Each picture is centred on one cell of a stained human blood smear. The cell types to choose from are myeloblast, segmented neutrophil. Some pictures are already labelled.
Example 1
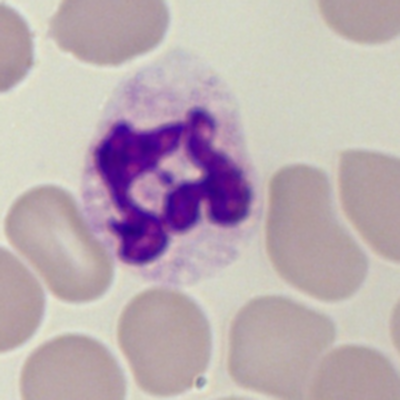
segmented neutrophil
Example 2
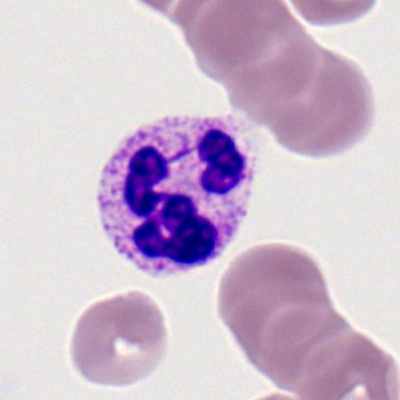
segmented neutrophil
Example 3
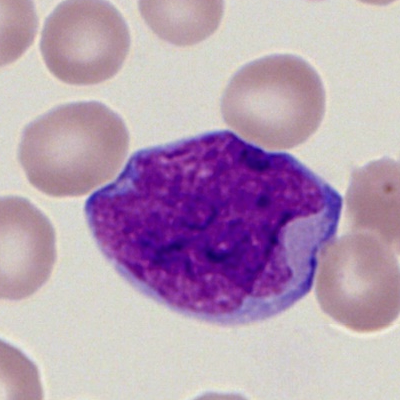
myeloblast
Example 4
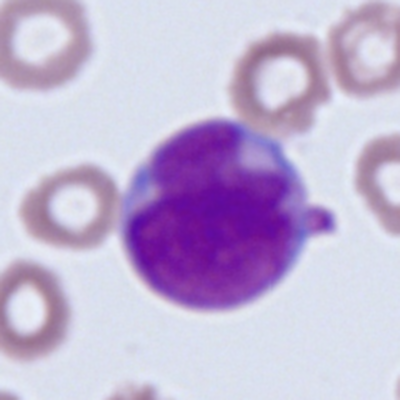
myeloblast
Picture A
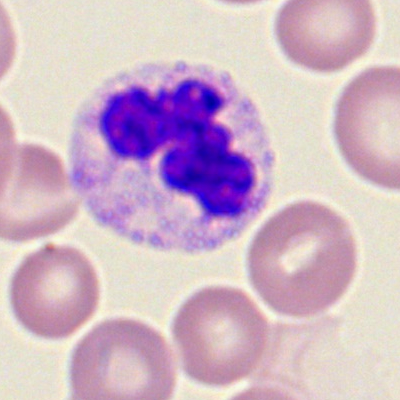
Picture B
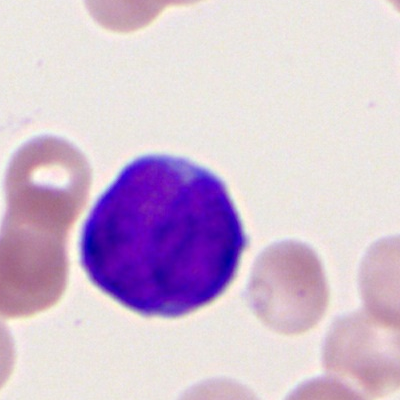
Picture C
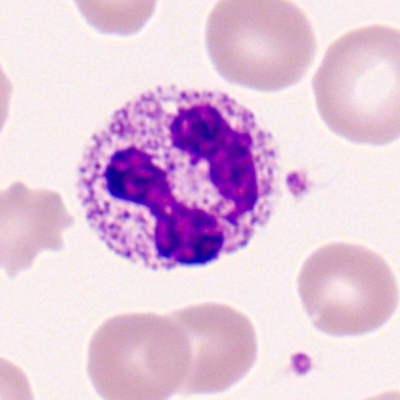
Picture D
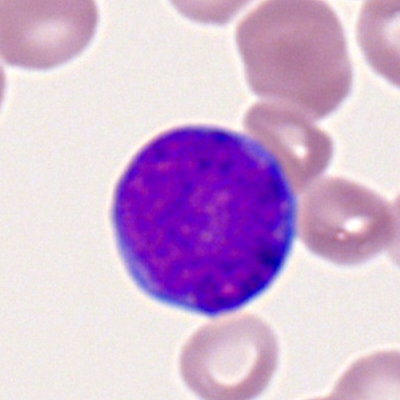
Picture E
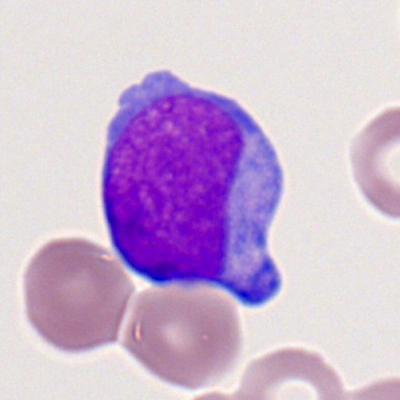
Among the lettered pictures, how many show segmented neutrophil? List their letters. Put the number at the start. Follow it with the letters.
2, namely A, C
